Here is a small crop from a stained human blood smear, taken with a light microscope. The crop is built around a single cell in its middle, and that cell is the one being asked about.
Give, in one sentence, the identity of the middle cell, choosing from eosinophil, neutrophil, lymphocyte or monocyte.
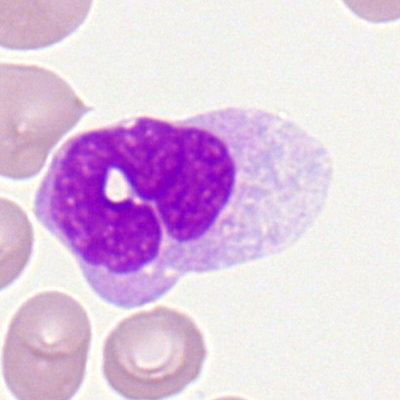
The cell sitting right in the middle is a monocyte.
